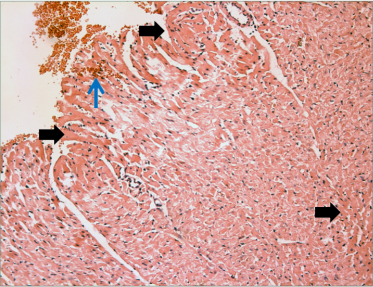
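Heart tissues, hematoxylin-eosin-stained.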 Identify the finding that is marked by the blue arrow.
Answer: Focal interstitial hemorrhage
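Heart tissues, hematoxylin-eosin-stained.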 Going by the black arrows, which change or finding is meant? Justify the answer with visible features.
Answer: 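Areas near the black arrows are more deeply and evenly pink than the surrounding muscle. That points to this answer: eosinophilic enhancement.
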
